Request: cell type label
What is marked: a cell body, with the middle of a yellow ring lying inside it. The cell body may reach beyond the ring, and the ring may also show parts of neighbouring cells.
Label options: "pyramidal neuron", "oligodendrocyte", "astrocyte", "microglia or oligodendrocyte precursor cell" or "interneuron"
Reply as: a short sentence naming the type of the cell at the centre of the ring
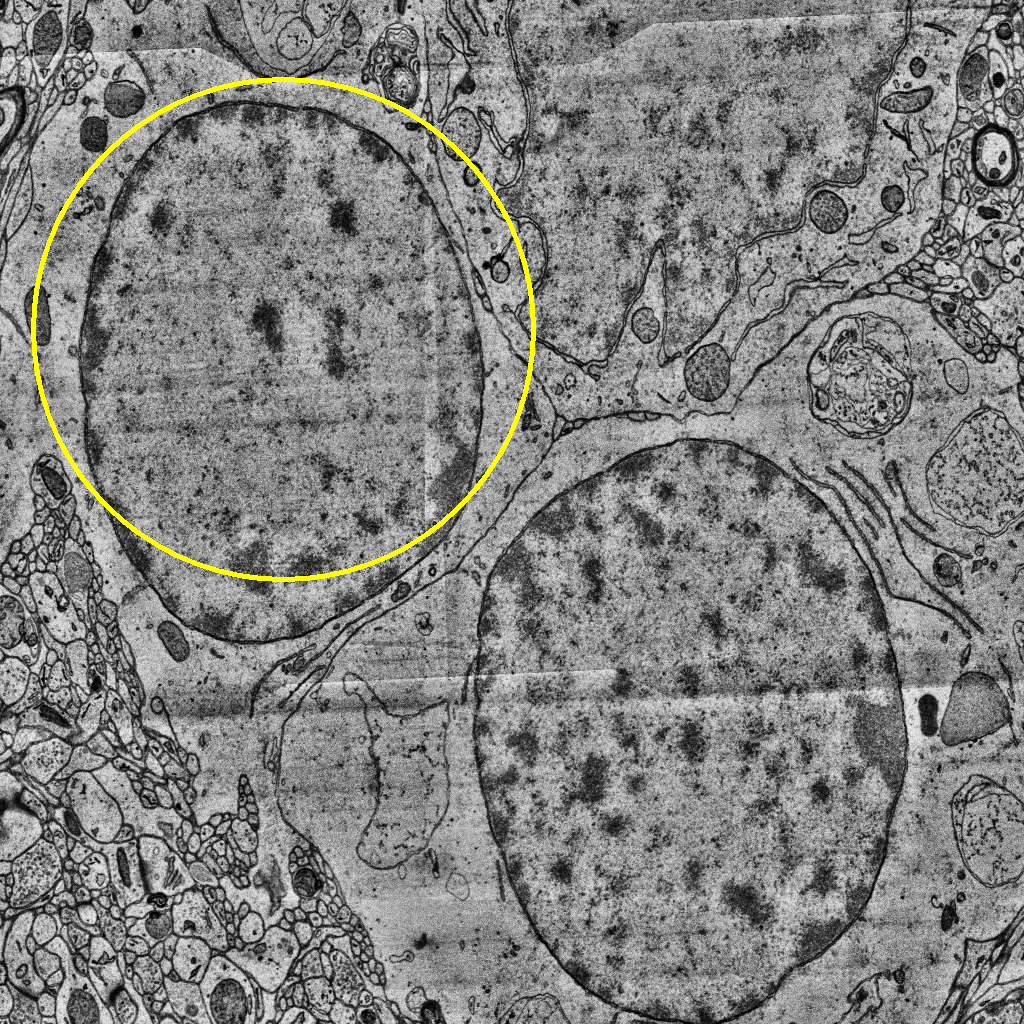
The marked cell body is that of an astrocyte.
